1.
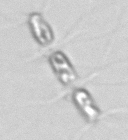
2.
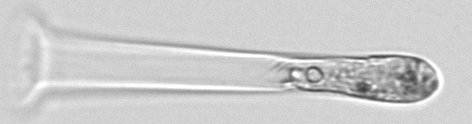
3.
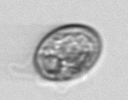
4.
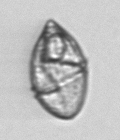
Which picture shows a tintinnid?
Picture 2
